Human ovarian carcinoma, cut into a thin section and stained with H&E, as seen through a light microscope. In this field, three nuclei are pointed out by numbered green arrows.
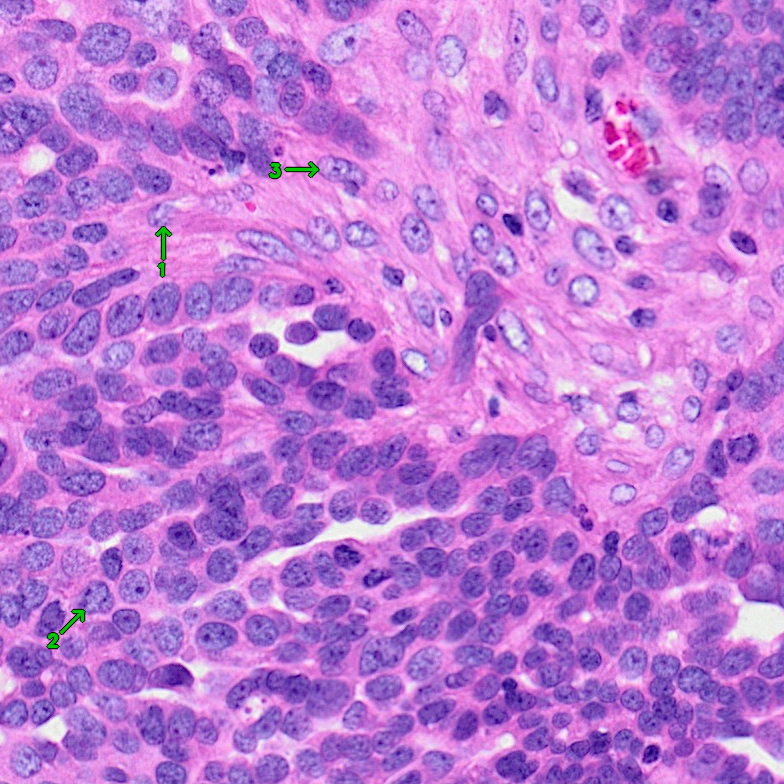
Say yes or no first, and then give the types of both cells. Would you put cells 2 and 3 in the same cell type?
No, cell 2 is a carcinoma cell, and cell 3, for its part, is a fibroblast.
